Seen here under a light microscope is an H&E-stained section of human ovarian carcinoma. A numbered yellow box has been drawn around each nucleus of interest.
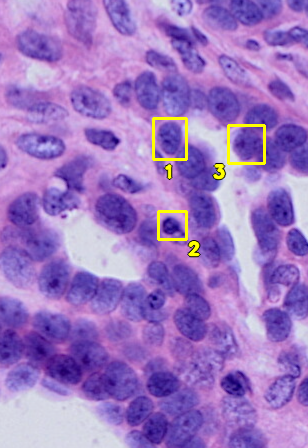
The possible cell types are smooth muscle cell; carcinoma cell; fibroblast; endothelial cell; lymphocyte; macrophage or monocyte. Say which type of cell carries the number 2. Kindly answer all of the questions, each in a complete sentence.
The cell indicated with the number 2 is classed as a lymphocyte.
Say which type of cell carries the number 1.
As for number 1, that cell is a carcinoma cell.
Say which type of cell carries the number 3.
The correct label for cell 3 is a carcinoma cell.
